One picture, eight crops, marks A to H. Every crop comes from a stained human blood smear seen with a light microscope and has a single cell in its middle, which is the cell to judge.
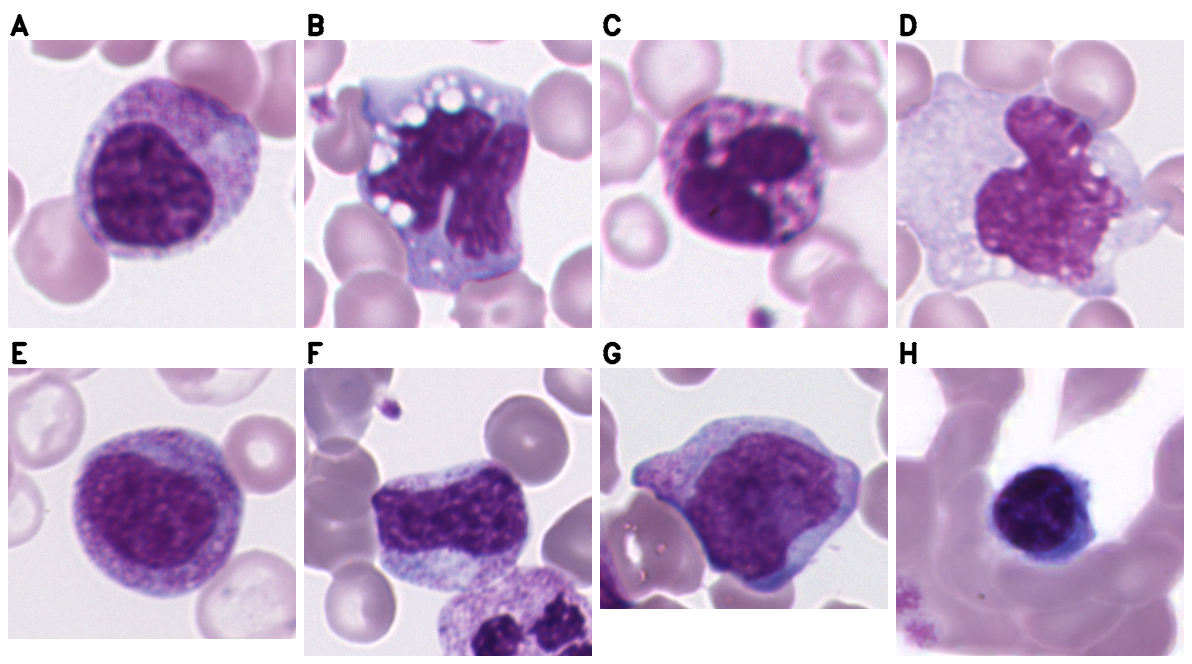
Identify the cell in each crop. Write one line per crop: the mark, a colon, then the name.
A: myelocyte
B: monocyte
C: basophil
D: monocyte
E: myelocyte
F: metamyelocyte
G: atypical promyelocyte
H: plasma cell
